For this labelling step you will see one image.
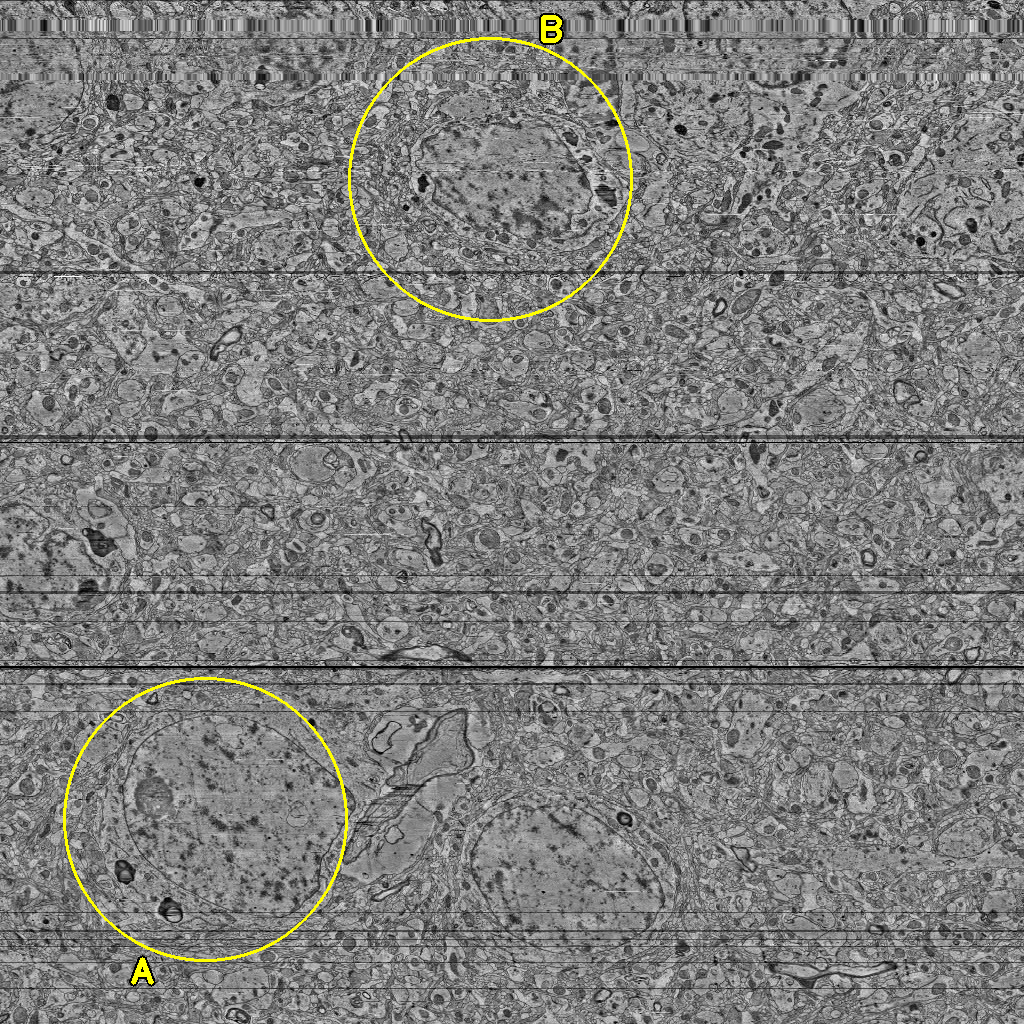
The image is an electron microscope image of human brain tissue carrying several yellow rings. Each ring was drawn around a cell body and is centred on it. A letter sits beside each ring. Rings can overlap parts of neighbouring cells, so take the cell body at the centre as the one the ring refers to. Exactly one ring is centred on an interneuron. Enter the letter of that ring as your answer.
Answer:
B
